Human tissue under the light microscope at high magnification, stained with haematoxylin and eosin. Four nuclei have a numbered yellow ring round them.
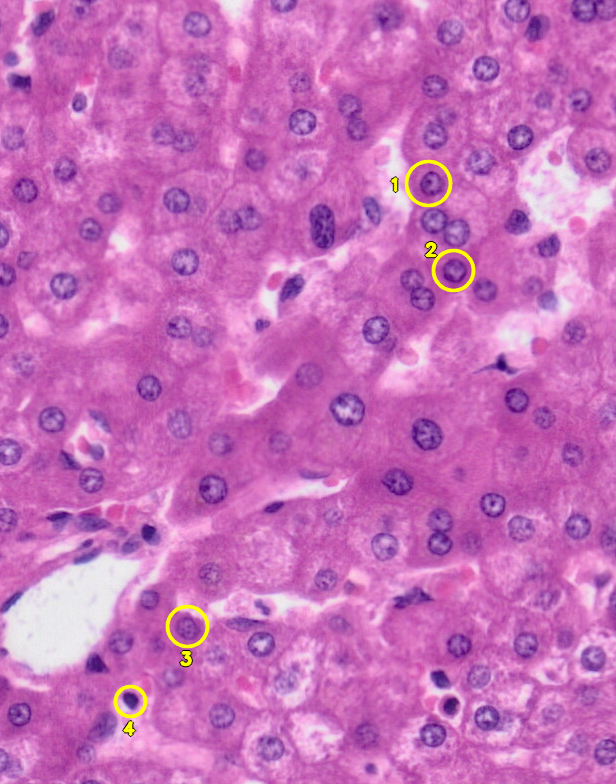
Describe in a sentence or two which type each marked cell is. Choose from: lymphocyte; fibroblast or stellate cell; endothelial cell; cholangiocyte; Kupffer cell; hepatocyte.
Cells 1, 2 and 3 are hepatocytes. Cell 4 is a lymphocyte.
